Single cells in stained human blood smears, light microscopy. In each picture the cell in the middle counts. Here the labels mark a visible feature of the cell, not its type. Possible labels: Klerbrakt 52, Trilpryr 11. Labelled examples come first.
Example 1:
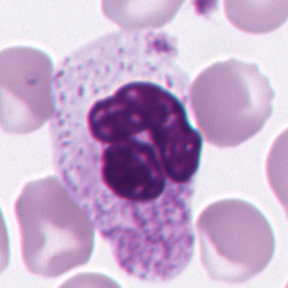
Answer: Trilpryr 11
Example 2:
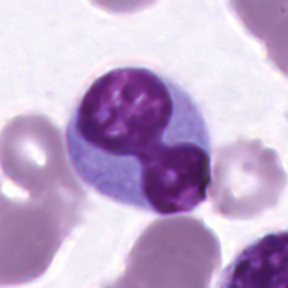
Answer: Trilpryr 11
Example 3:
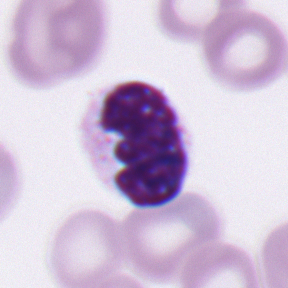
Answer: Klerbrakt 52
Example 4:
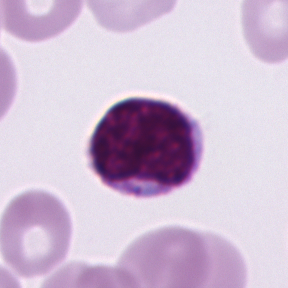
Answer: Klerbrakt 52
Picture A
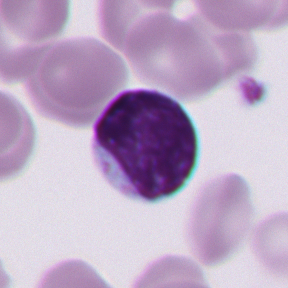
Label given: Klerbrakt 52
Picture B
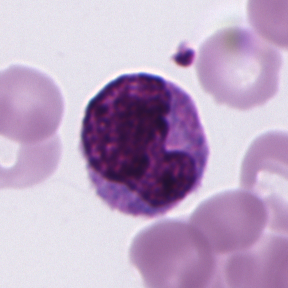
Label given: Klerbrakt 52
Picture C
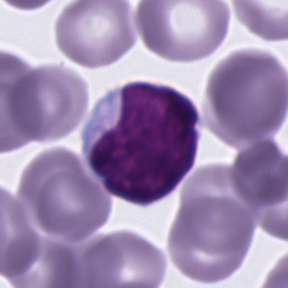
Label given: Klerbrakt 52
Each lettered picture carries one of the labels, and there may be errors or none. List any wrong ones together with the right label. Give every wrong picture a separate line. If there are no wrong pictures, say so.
Every label is right.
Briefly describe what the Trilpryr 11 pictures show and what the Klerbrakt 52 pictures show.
Trilpryr 11, lobed nucleus; Klerbrakt 52, single compact nucleus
